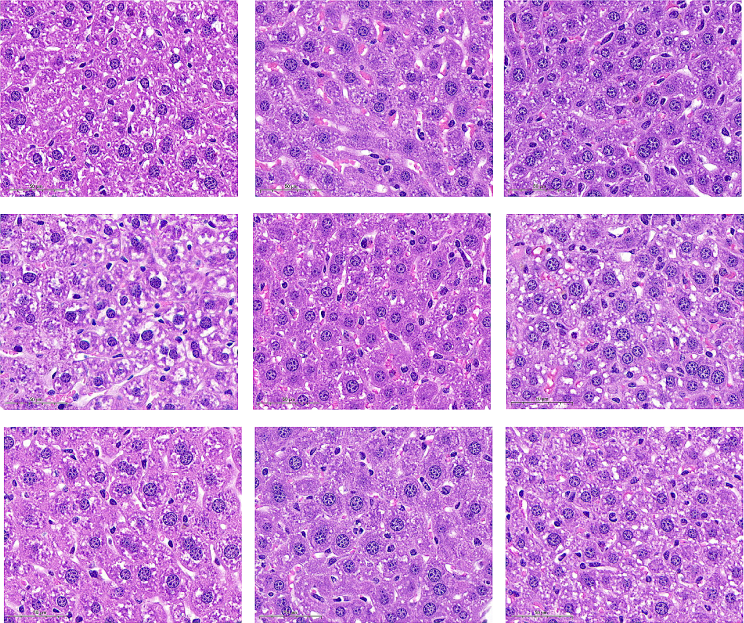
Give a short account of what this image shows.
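These are fields of liver parenchyma made of closely packed hepatocytes. The hepatocytes lie side by side in cords separated by narrow pale sinusoidal spaces, where small dark, flattened lining-cell nuclei can be seen. In some fields the cytoplasm looks paler and more vacuolated, but the cells stay orderly, and no inflammatory infiltrate or necrosis is evident.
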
